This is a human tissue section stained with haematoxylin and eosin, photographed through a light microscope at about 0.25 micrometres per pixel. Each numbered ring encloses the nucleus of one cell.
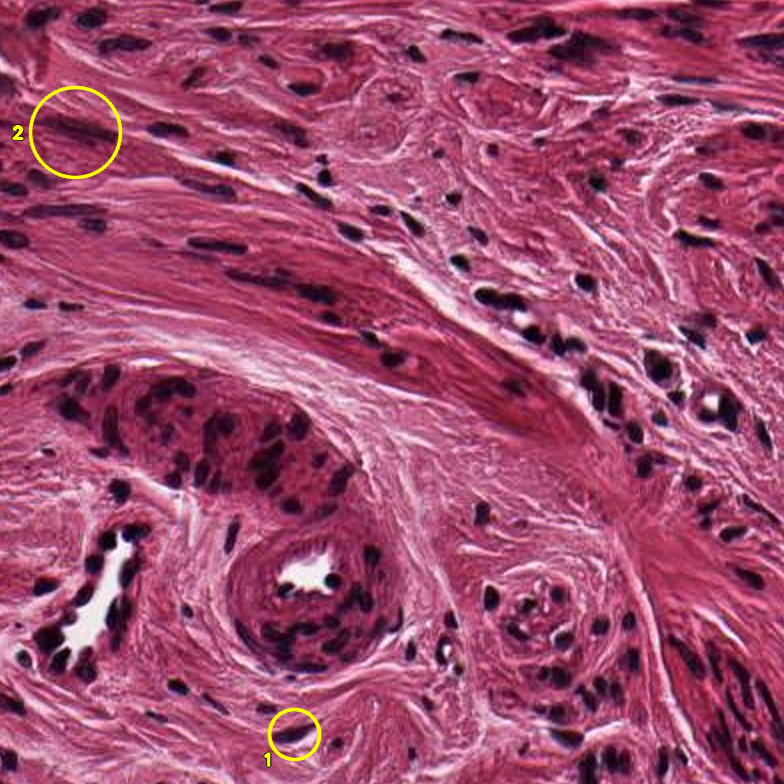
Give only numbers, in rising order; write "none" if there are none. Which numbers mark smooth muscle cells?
2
